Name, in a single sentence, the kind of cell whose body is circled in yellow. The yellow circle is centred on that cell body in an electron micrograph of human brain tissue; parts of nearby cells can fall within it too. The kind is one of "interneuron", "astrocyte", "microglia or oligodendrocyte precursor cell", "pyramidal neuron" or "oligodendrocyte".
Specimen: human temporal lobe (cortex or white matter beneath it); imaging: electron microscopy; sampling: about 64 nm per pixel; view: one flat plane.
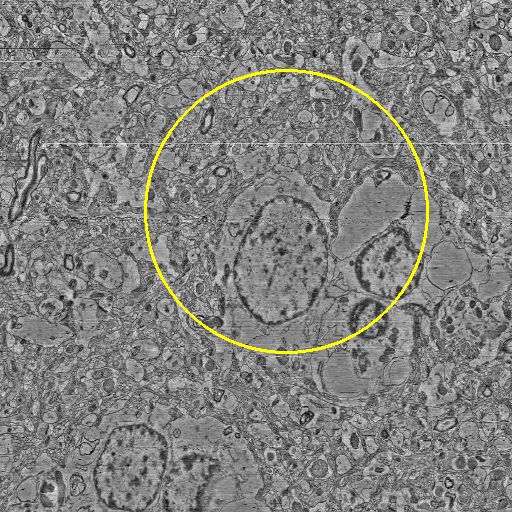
The circled cell body belongs to an astrocyte.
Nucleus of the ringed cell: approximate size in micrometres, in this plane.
The nucleus of the ringed cell is approximately 9 by 6 micrometres in this plane.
